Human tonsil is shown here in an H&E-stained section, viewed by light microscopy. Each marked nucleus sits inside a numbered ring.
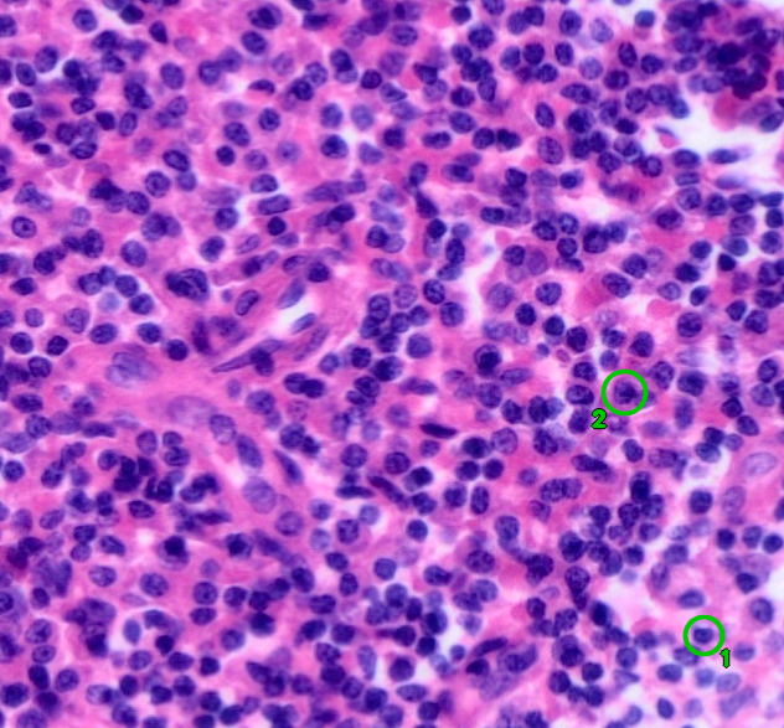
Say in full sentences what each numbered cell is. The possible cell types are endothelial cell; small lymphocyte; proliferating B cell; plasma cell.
Cell 1 is a small lymphocyte and cell 2 is a plasma cell.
